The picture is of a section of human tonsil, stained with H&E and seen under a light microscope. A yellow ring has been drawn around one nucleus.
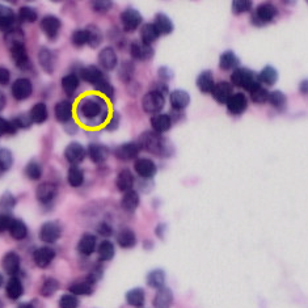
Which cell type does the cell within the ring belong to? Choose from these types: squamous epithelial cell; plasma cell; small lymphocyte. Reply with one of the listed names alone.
small lymphocyte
